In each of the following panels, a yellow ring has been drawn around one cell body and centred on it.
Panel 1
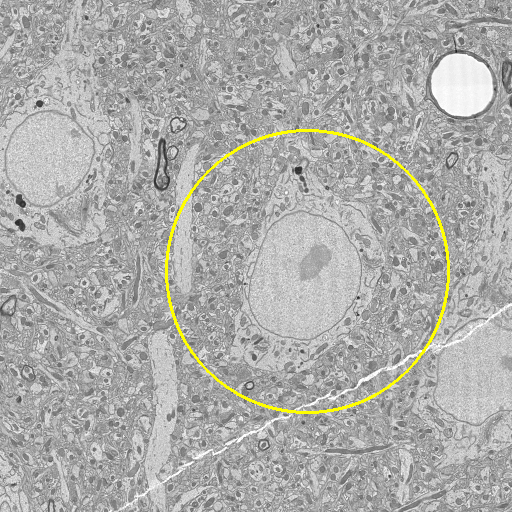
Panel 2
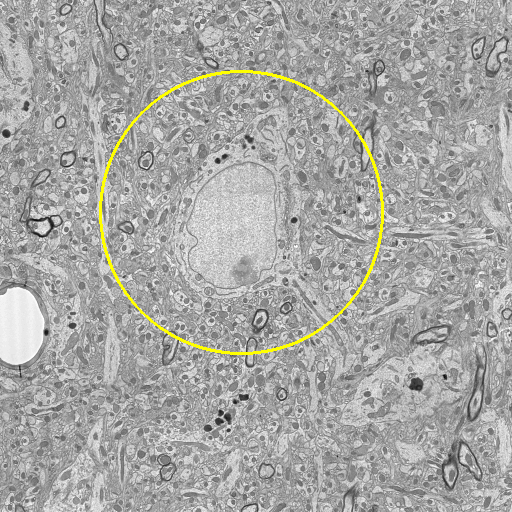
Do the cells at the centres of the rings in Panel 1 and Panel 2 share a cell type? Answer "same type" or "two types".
same type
